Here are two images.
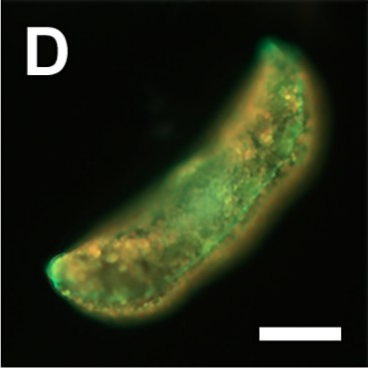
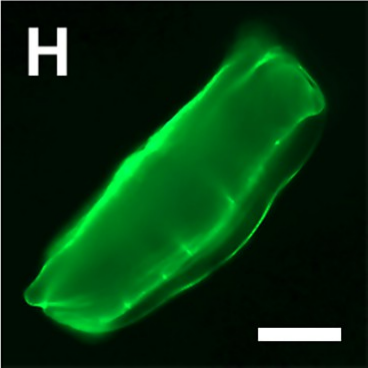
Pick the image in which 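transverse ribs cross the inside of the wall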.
The second image.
